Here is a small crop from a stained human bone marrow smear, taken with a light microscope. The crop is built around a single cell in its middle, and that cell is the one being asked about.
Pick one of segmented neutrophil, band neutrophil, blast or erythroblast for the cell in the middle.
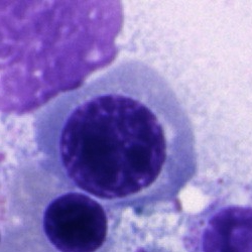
erythroblast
